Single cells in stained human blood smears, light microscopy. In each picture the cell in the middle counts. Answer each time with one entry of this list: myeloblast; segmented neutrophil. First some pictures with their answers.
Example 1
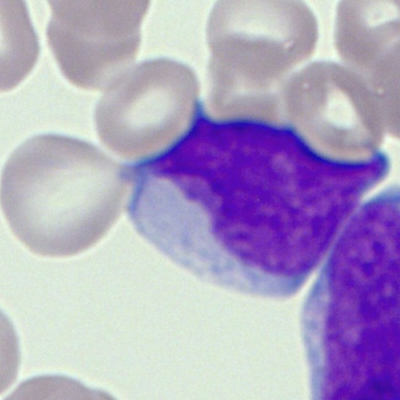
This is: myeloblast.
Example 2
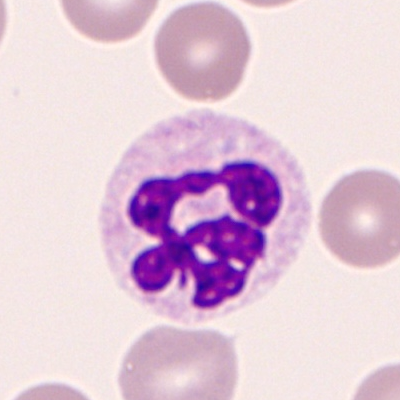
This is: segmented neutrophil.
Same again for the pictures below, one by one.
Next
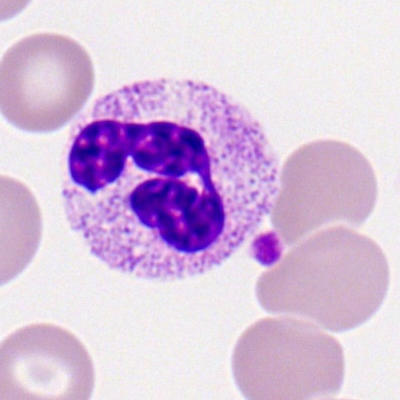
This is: segmented neutrophil.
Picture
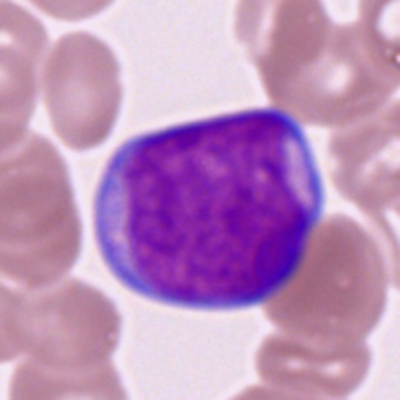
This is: myeloblast.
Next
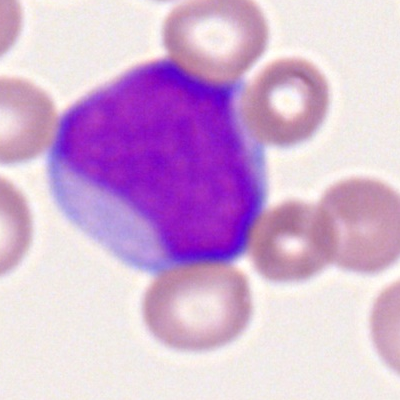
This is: myeloblast.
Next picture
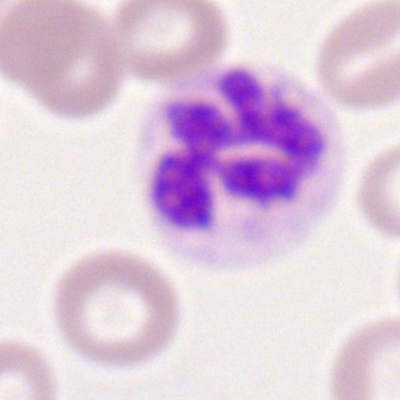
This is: segmented neutrophil.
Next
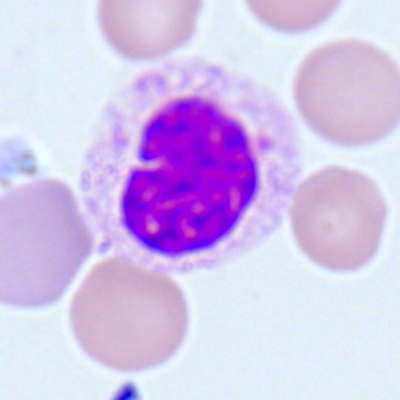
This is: segmented neutrophil.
